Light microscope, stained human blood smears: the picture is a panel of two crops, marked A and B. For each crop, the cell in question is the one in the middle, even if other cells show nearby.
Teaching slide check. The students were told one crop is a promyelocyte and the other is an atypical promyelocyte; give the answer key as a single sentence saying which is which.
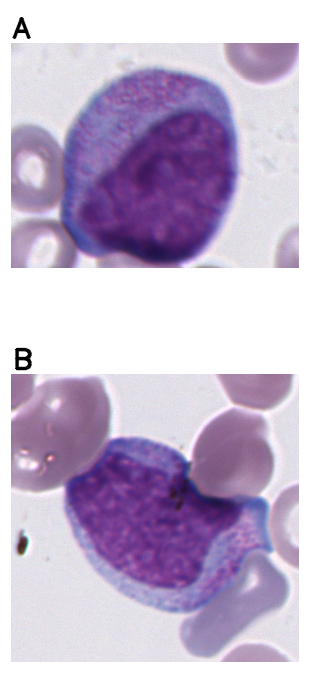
Among the crops, crop A is a promyelocyte and crop B is an atypical promyelocyte.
